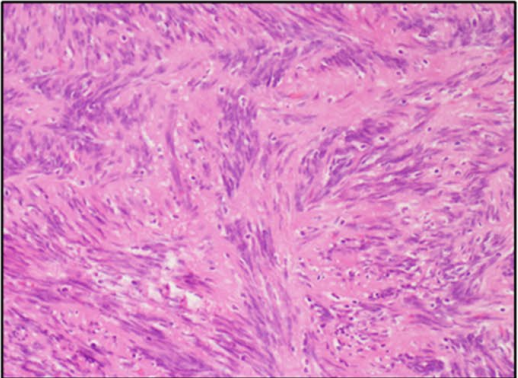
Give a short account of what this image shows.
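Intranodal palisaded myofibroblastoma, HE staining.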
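This is a tumor made of spindle cells, seen in pink and purple. The cells are long and slender with elongated dark nuclei and pink cytoplasm, and they lie in bundles that sweep and cross in different directions.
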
